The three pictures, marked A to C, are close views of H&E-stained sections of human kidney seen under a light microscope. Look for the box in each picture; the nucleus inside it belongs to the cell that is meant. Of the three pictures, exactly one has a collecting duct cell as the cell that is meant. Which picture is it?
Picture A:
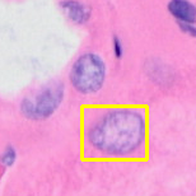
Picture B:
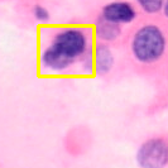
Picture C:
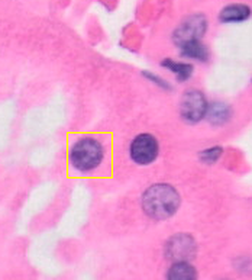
B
